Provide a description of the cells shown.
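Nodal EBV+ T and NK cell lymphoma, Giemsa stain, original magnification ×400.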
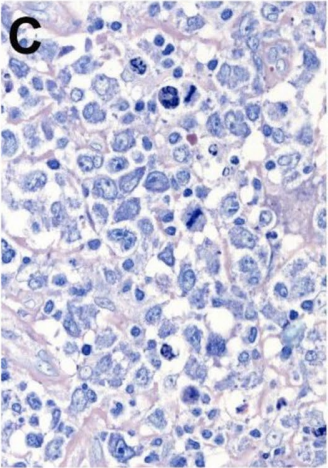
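Atypical large cells stained in shades of blue make up most of the field, several of them in mitosis. Their nuclei are large and irregular with visible nucleoli, and the cytoplasm is pale blue. Dark blue clumps of condensed chromosomes mark dividing cells.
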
